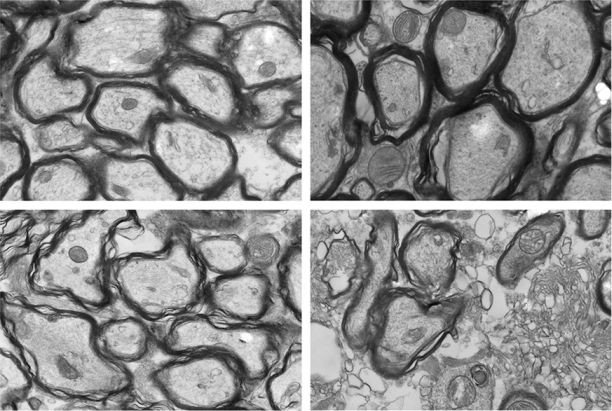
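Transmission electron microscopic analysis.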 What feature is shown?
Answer: Myelin sheaths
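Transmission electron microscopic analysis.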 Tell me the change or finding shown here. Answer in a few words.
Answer: Increased translucency and disorganization of the myelin lamellae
